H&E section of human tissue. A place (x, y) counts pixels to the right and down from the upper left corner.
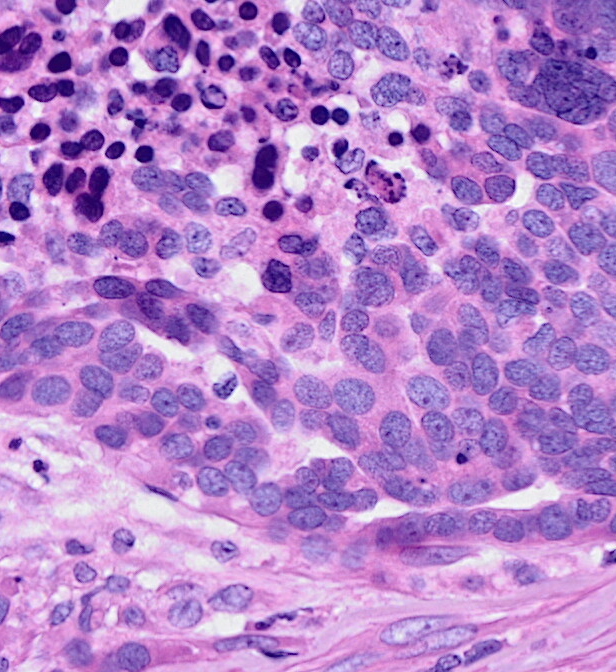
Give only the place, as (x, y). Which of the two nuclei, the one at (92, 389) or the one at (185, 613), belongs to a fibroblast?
(185, 613)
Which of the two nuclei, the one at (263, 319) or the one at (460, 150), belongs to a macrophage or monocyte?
(263, 319)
